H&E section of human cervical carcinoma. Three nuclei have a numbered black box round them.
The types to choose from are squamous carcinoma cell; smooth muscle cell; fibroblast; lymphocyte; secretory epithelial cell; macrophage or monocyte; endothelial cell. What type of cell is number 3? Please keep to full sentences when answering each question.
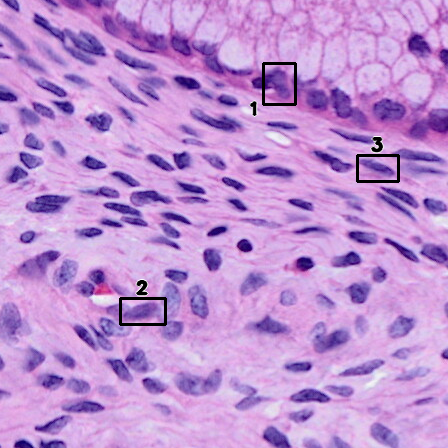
Of the numbered cells, the one labelled 3 is a fibroblast.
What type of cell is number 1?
The marked cell with the number 1 is recognised as a secretory epithelial cell.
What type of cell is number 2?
The numbered cell 2 is identified here as an endothelial cell.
